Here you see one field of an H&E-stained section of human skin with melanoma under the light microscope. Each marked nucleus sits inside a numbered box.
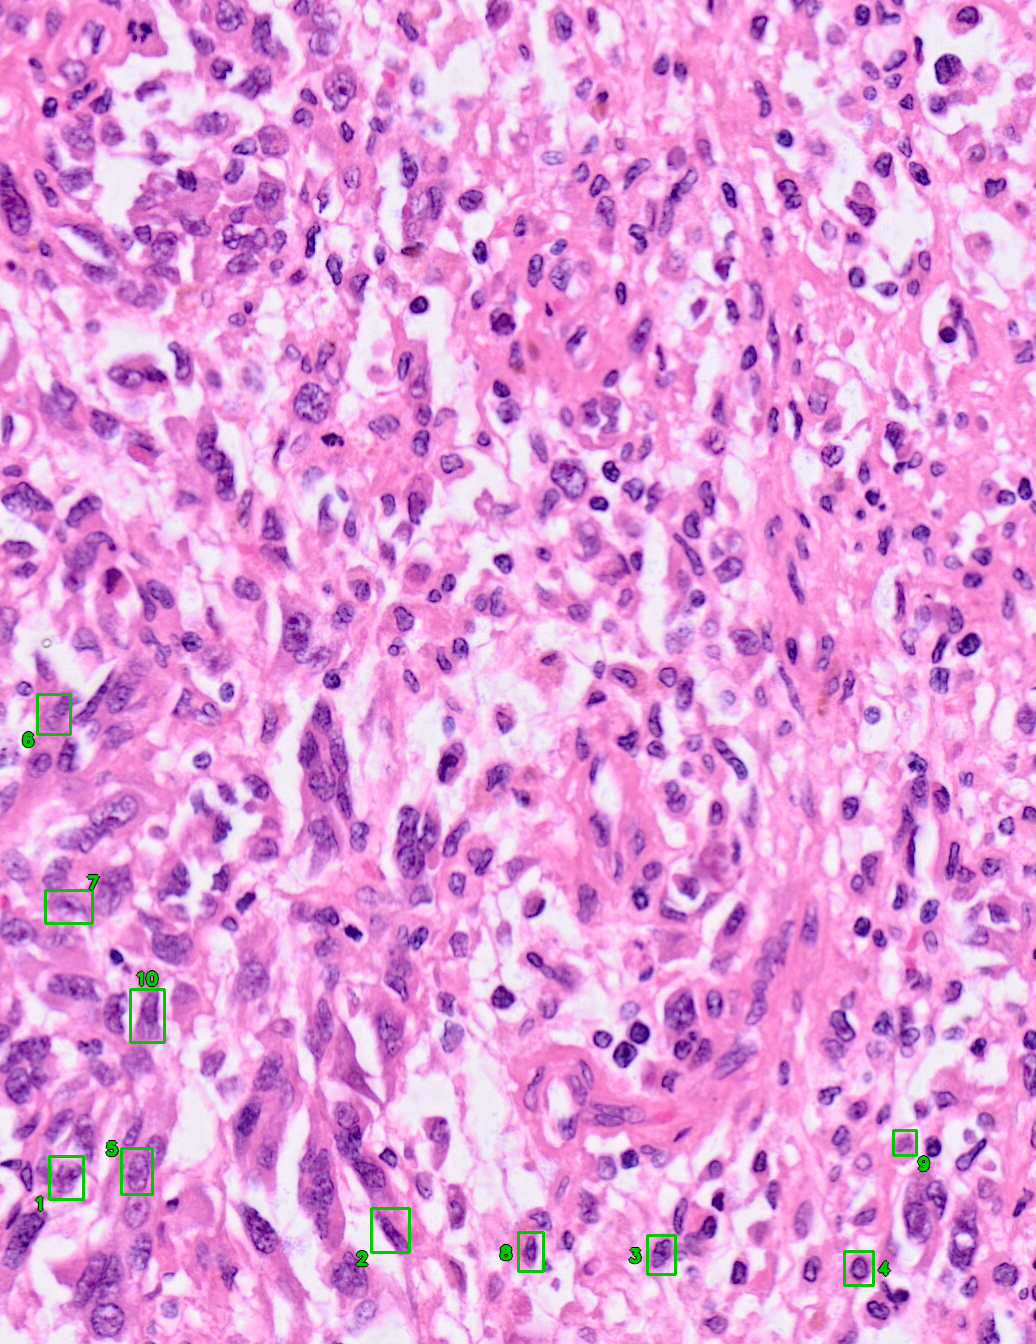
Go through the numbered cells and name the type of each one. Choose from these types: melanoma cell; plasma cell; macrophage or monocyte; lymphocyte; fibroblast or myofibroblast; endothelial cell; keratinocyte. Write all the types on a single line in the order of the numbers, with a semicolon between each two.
melanoma cell; melanoma cell; macrophage or monocyte; macrophage or monocyte; melanoma cell; melanoma cell; melanoma cell; macrophage or monocyte; macrophage or monocyte; melanoma cell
